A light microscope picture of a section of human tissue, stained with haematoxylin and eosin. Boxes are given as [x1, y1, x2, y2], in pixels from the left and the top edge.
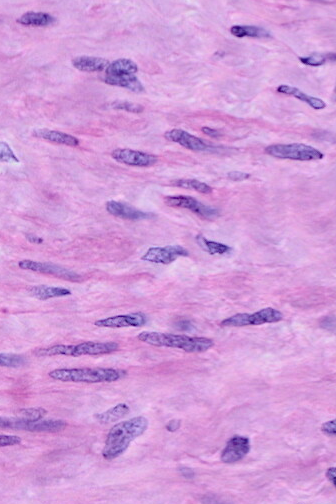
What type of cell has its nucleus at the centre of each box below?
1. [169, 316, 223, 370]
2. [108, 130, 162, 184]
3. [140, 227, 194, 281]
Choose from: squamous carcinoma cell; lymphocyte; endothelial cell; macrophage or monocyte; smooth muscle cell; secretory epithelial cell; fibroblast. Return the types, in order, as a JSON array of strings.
["smooth muscle cell", "smooth muscle cell", "fibroblast"]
